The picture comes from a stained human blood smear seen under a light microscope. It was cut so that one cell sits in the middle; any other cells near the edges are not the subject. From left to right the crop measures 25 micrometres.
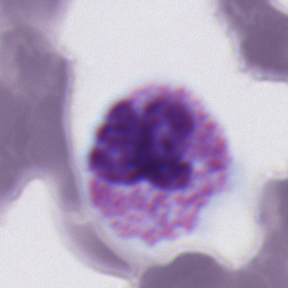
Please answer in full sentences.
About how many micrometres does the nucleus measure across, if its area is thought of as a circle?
The diameter of the nucleus comes to about 8 micrometres.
